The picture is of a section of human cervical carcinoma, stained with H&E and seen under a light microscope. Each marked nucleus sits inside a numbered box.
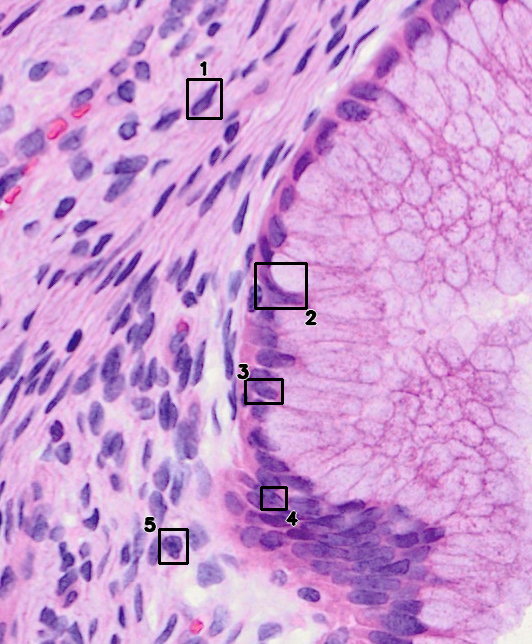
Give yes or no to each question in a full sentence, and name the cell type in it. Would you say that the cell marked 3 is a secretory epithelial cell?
Yes, the cell with the mark numbered 3 is a secretory epithelial cell.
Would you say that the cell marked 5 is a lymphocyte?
Yes, for number 5, the cell is a lymphocyte.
